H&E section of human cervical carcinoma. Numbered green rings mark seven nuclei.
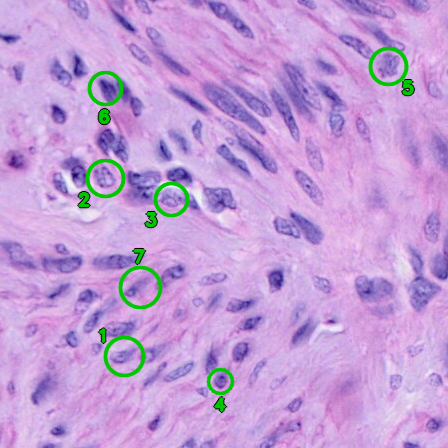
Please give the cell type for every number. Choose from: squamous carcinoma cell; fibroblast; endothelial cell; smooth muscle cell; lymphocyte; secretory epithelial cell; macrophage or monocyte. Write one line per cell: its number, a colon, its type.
1: smooth muscle cell
2: endothelial cell
3: endothelial cell
4: smooth muscle cell
5: smooth muscle cell
6: fibroblast
7: smooth muscle cell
